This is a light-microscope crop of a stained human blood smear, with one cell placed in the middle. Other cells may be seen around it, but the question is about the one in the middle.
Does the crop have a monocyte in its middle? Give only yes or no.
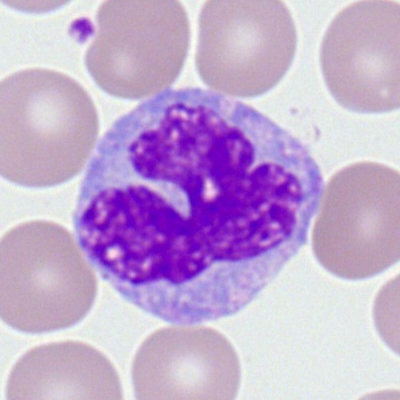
yes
